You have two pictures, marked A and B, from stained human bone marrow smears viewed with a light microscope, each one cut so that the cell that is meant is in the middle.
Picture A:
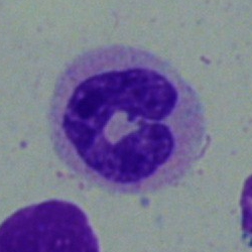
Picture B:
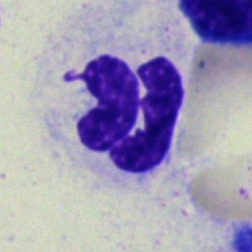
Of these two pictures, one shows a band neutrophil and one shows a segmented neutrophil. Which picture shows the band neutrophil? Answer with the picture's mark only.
A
